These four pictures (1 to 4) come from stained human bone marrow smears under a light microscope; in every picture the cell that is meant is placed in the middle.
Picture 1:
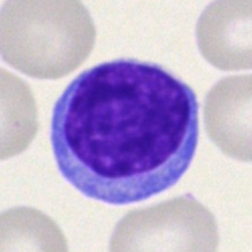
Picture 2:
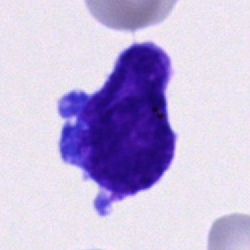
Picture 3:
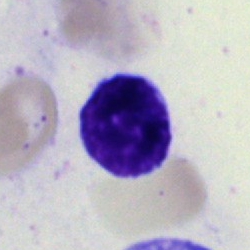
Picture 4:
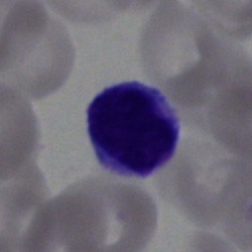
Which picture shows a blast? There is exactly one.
2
